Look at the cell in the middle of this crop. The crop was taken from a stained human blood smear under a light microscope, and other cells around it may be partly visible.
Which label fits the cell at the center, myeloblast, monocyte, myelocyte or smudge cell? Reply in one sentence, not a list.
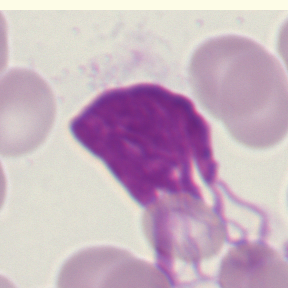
As for the cell in the middle, it is a smudge cell.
